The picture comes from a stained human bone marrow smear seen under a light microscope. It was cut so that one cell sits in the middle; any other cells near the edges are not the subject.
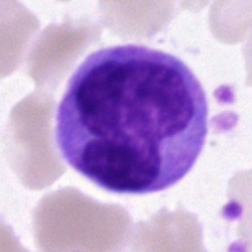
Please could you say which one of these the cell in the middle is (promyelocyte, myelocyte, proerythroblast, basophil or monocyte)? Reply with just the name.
monocyte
